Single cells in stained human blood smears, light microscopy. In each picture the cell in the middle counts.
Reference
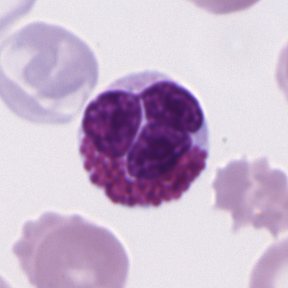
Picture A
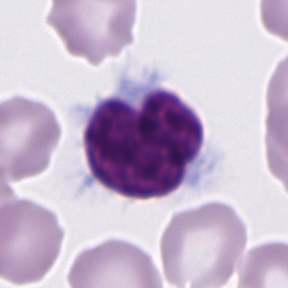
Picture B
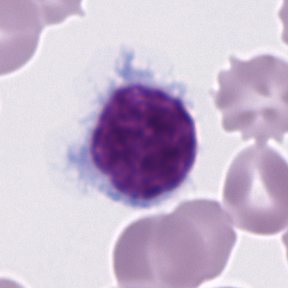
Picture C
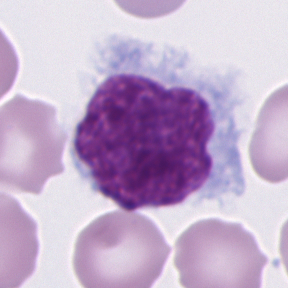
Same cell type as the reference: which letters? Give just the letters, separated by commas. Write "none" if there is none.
none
